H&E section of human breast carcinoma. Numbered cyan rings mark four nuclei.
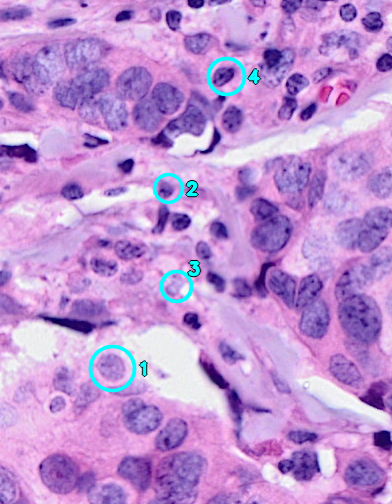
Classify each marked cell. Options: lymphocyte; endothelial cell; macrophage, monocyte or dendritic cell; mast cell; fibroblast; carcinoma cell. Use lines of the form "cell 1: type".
cell 1: carcinoma cell
cell 2: lymphocyte
cell 3: macrophage, monocyte or dendritic cell
cell 4: lymphocyte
